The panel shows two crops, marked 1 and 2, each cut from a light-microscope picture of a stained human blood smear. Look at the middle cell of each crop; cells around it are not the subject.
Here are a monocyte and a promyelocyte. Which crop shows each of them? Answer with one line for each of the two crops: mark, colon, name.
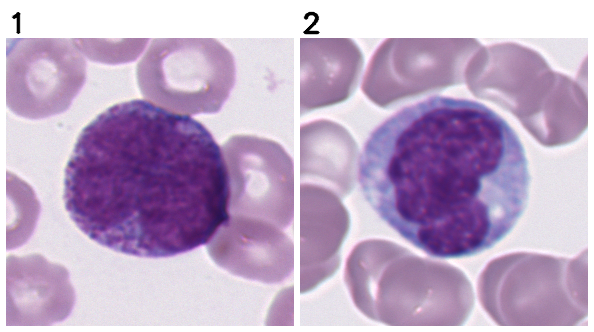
1: promyelocyte
2: monocyte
